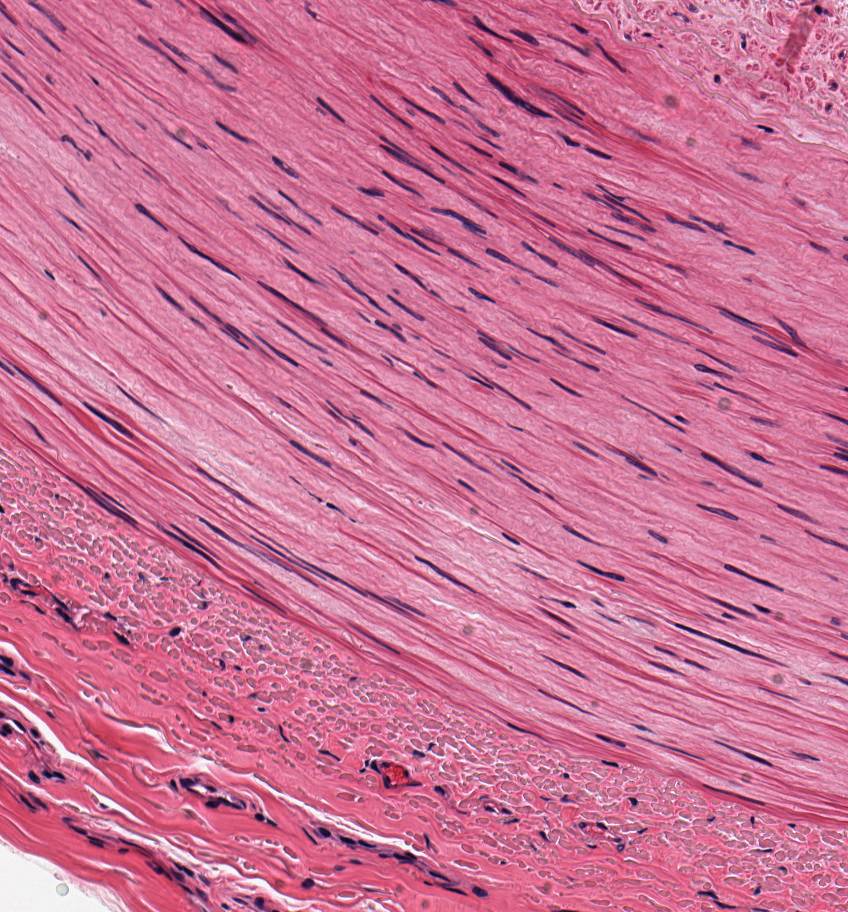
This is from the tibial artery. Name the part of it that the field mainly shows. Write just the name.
tunica media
